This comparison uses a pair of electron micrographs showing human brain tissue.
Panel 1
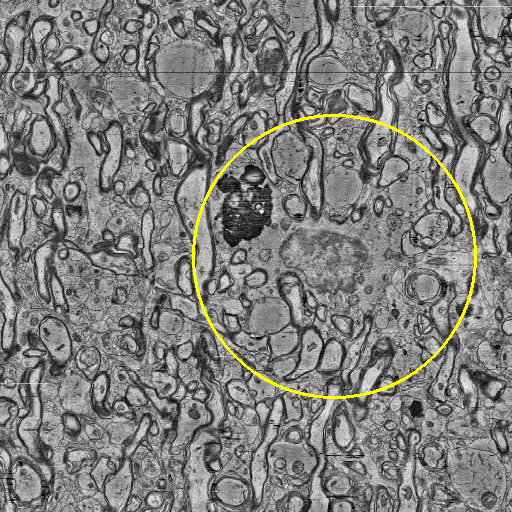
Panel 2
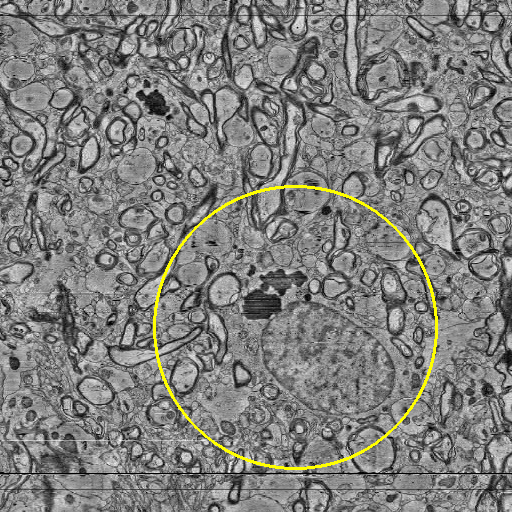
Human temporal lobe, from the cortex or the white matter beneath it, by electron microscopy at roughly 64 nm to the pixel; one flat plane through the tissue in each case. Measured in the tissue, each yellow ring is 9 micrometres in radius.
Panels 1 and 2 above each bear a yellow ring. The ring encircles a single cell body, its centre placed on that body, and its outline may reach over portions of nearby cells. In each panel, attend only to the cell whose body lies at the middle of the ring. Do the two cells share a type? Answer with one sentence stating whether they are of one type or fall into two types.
In Panel 1 and Panel 2, the cells at the centres of the rings are of one type.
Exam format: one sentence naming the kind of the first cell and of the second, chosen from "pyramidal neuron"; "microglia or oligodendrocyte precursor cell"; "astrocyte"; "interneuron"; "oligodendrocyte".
Each of the ringed cells, first and second, is an oligodendrocyte.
